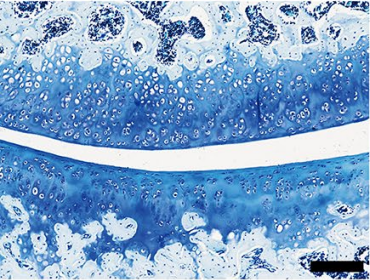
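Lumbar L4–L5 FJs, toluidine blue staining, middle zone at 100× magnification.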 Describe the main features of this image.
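Here two layers of articular cartilage face each other across a narrow white joint space, their matrix stained deep blue. Within the matrix sit rounded chondrocytes, each in a pale lacuna, scattered singly or in small clusters. Beyond each cartilage layer lies bone with marrow spaces holding dark, densely packed cells.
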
